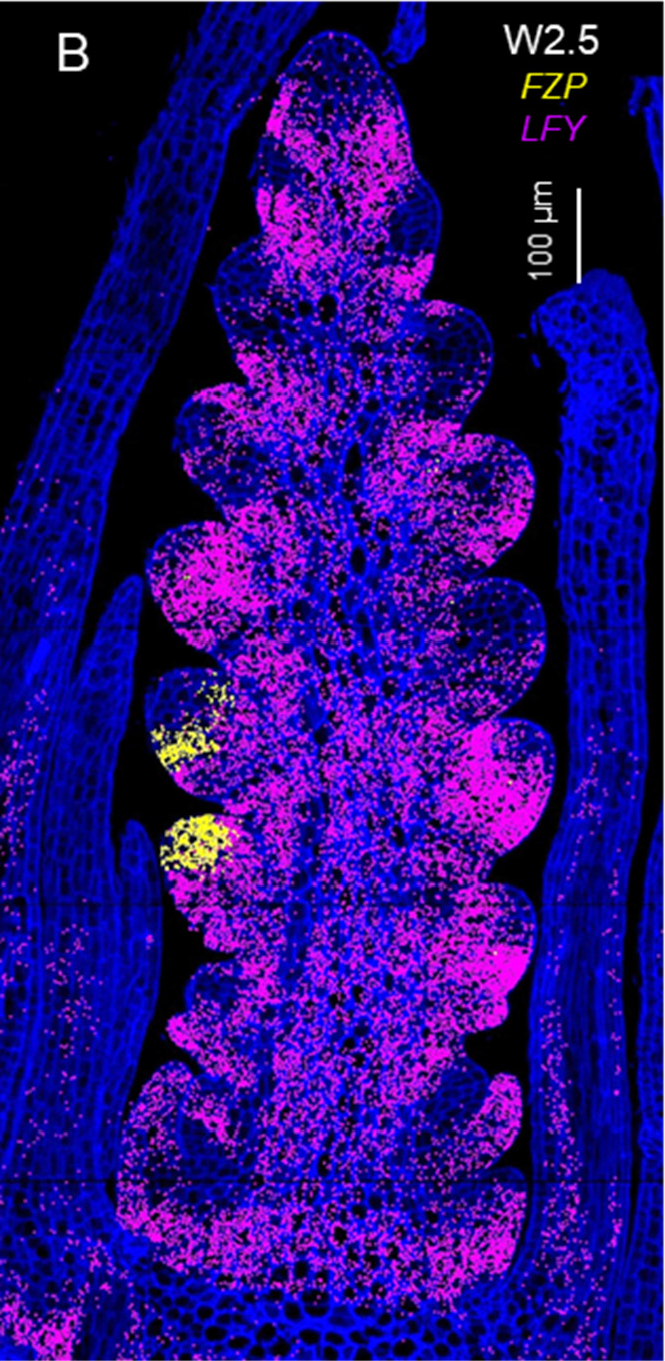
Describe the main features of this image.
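This is a longitudinal section through an elongated inflorescence apex at the late double ridge stage, with lateral bulges along both flanks of a central axis. Dark blue cell walls outline small, densely packed meristematic cells throughout the apex. A few compact yellow clusters lie in lateral bulges on the left side near the middle of the apex. Narrow leaves made of elongated cells enclose the apex on both sides.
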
